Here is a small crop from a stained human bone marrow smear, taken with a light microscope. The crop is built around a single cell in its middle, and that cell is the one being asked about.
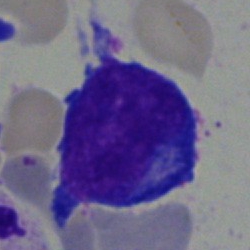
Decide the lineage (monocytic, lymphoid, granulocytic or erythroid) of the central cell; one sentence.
Lineage designation for the cell in the middle reads erythroid.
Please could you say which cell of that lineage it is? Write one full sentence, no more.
As for the cell in the middle, it is a proerythroblast.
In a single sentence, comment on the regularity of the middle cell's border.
The cell outline lacks smoothness, being ragged or extended into projections.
